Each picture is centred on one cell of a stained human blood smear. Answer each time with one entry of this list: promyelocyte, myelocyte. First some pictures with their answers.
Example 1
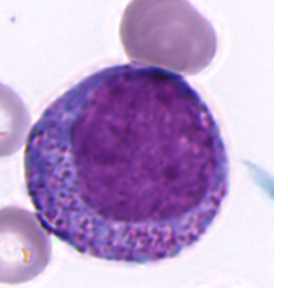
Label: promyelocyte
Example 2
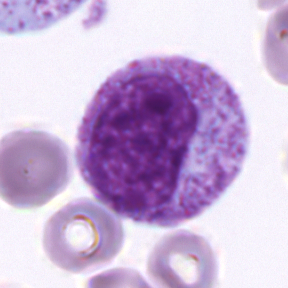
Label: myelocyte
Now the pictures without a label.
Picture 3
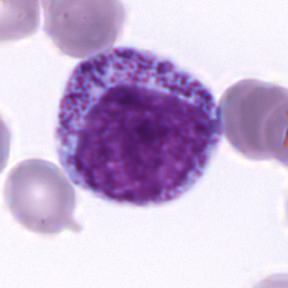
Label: myelocyte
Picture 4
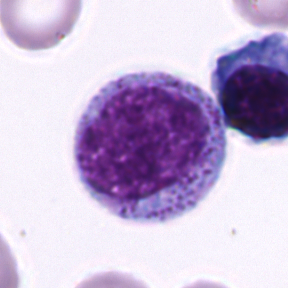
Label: myelocyte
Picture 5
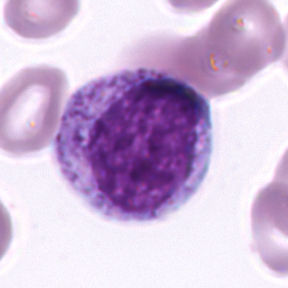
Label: myelocyte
